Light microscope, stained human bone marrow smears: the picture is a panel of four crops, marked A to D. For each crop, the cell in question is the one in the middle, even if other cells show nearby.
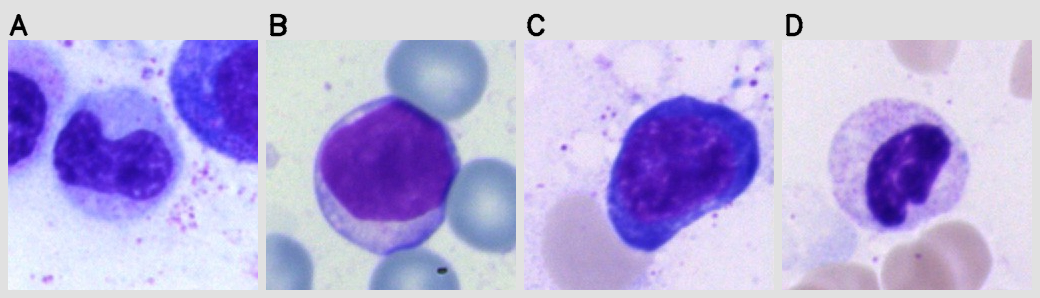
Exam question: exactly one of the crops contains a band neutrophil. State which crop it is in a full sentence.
Crop A shows a band neutrophil, and no other crop does.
